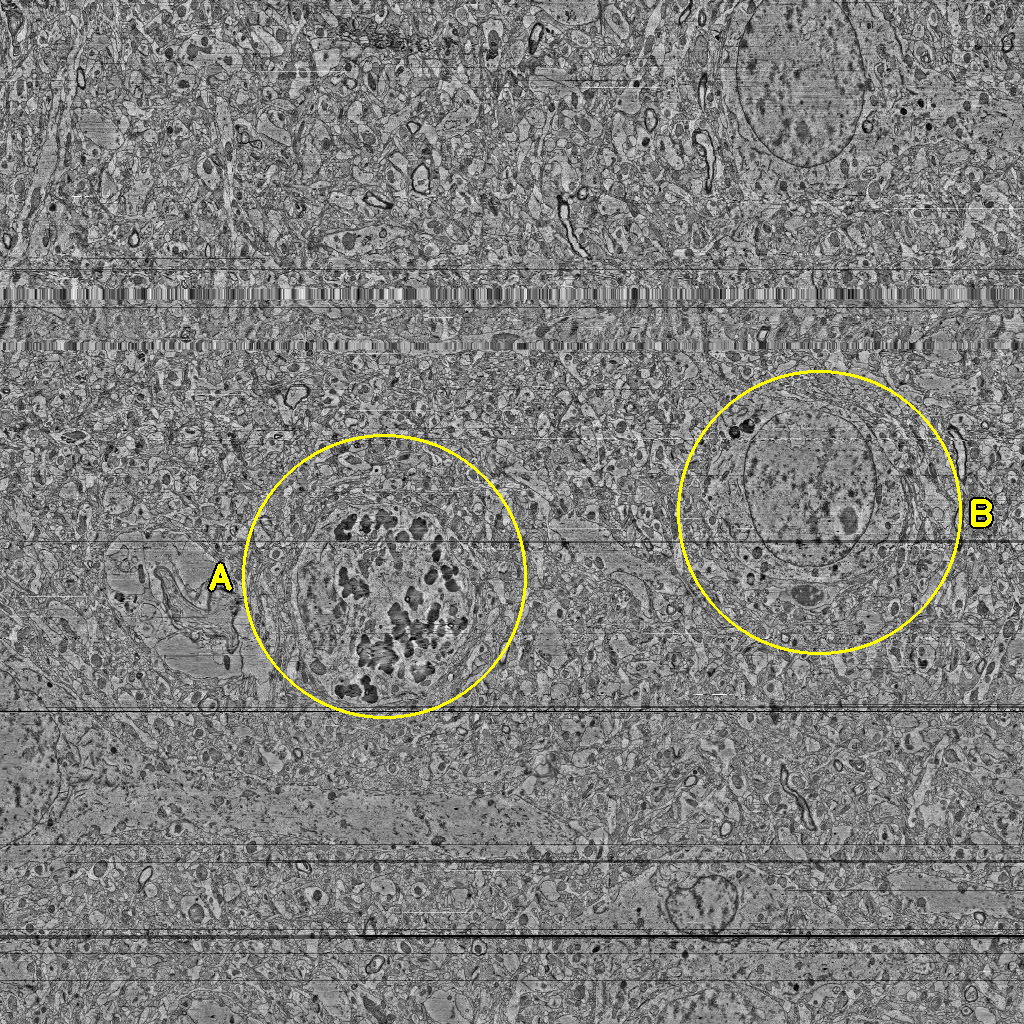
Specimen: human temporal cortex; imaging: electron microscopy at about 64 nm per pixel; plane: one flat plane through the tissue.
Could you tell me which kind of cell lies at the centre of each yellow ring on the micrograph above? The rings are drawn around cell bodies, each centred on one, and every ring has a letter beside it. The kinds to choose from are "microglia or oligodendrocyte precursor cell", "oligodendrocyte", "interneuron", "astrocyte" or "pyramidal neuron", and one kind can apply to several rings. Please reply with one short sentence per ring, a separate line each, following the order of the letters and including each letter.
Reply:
Ring A circles an interneuron.
Ring B circles a pyramidal neuron.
